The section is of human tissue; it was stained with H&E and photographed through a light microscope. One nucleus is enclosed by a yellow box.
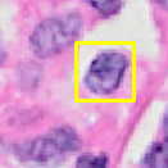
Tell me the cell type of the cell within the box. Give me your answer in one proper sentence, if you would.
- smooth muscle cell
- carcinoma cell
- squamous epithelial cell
As to its cell type, the cell within the box is a carcinoma cell.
